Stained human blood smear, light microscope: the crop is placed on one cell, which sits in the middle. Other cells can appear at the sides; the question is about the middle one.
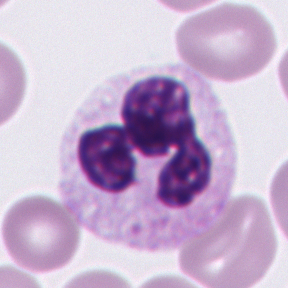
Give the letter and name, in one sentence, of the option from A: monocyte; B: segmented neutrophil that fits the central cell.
In this crop the central cell is a segmented neutrophil, which option B correctly states.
